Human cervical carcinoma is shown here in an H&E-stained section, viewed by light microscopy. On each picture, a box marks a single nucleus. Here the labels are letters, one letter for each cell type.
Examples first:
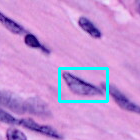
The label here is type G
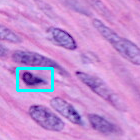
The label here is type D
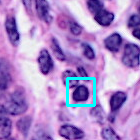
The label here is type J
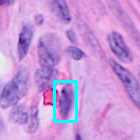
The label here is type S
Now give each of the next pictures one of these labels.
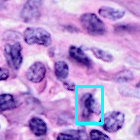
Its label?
type J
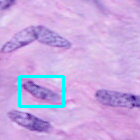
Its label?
type D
